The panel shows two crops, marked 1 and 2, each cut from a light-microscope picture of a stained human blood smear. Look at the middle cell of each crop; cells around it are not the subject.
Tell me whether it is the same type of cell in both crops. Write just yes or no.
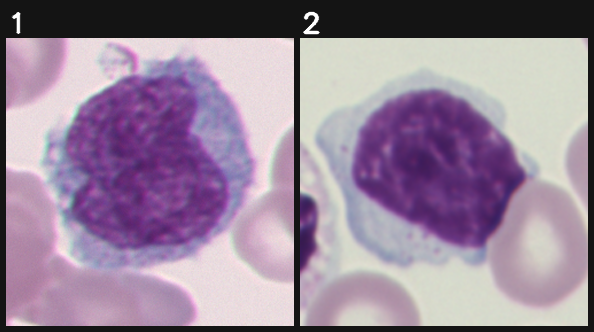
no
